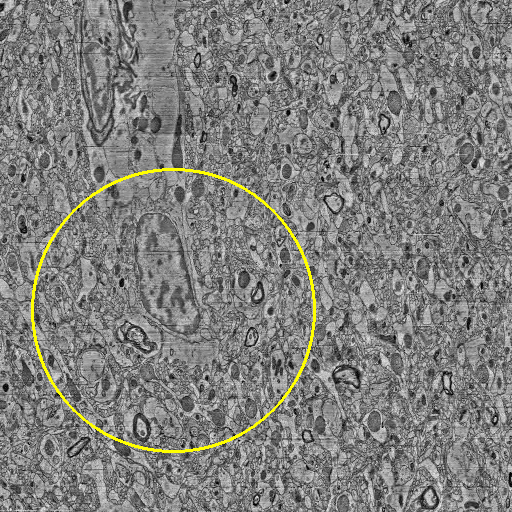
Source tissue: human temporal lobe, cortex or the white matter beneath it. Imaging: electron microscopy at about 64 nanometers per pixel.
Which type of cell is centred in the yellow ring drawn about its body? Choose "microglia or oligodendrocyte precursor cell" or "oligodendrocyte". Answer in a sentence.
The yellow ring surrounds the cell body of a microglial cell or oligodendrocyte precursor cell.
